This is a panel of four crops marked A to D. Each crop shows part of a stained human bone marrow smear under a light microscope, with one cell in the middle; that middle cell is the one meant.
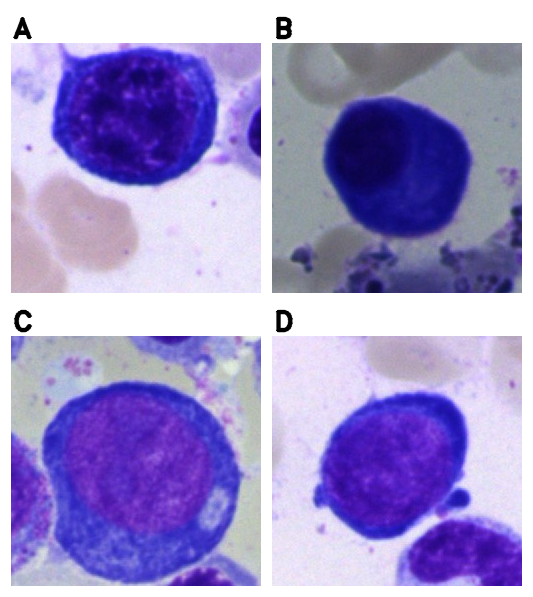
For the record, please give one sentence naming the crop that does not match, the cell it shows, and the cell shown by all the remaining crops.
Excluding crop B, which is a plasma cell, the crops all show proerythroblasts.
